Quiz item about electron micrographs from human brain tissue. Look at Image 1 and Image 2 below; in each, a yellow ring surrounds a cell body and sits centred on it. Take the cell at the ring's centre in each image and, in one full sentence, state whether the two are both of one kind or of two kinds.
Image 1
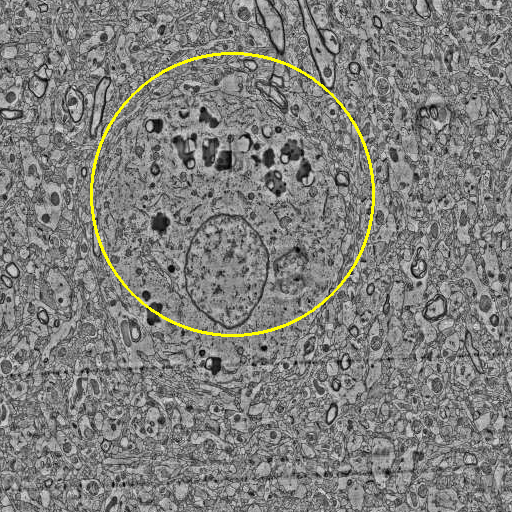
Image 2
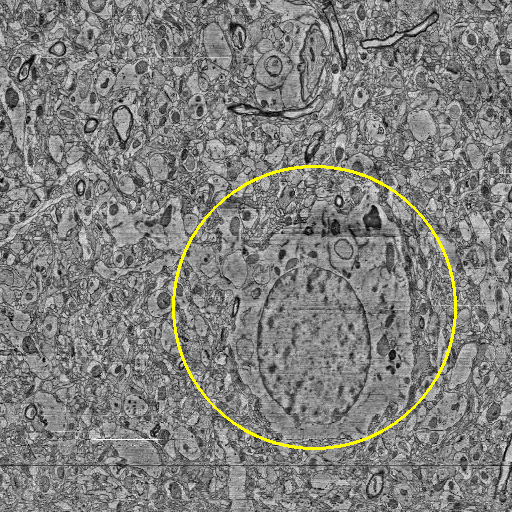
In Image 1 and Image 2, the cells at the ring centres are of two kinds.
